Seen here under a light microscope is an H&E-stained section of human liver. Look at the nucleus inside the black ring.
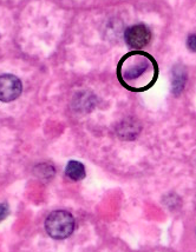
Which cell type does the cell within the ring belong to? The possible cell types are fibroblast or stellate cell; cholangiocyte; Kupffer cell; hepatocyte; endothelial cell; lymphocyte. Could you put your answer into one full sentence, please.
Just put down that the cell within the ring is a fibroblast or stellate cell.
